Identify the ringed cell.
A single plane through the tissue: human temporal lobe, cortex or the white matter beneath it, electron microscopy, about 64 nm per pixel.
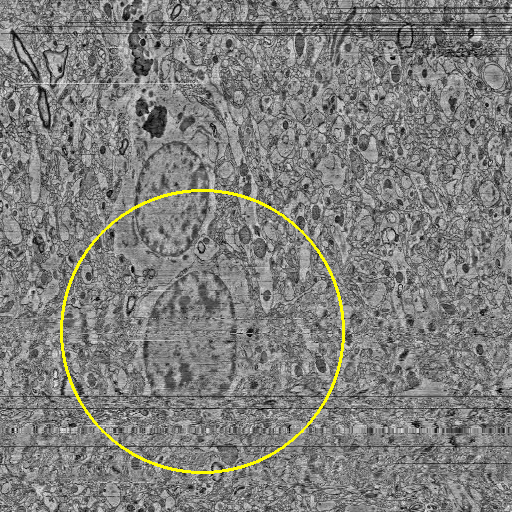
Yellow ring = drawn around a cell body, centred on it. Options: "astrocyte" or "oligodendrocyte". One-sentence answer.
What the ring is centred on is an astrocyte.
